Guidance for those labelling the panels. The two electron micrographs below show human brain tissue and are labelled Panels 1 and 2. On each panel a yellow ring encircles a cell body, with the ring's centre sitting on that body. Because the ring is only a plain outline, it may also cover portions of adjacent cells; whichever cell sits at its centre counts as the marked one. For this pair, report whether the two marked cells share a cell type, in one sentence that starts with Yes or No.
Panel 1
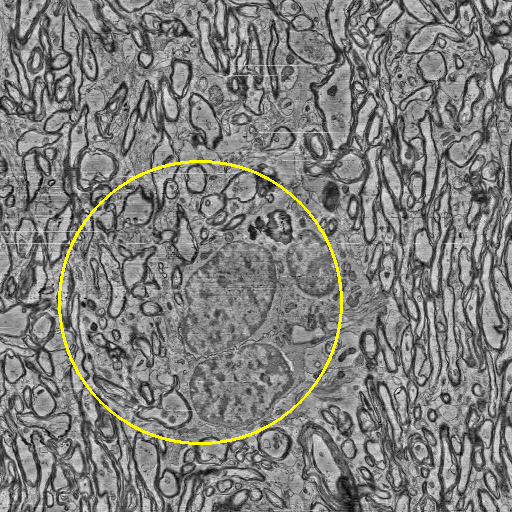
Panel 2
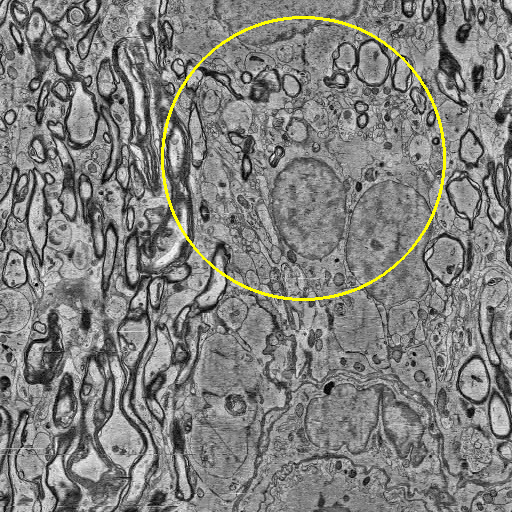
Yes, in Panel 1 and Panel 2 the marked cells at the ring centres share one type.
